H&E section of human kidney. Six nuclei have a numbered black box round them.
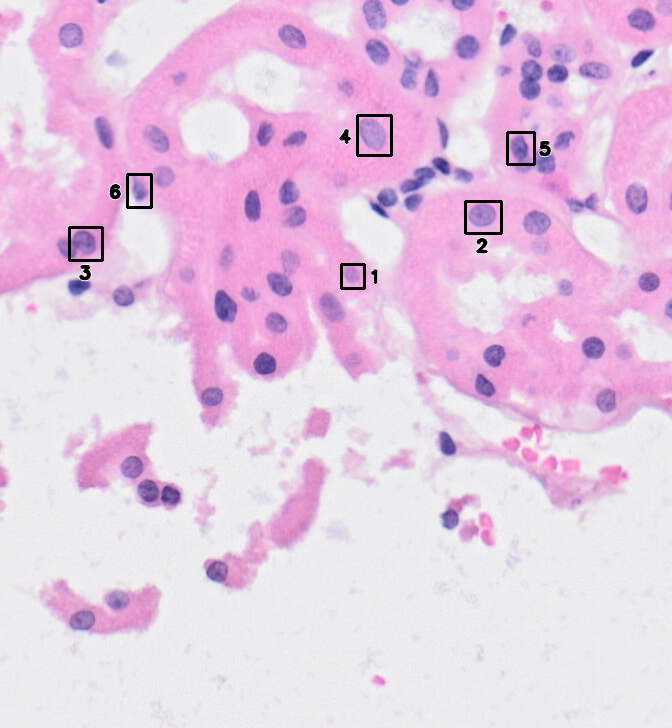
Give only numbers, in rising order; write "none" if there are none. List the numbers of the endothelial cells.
6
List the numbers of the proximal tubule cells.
1, 2, 3, 4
